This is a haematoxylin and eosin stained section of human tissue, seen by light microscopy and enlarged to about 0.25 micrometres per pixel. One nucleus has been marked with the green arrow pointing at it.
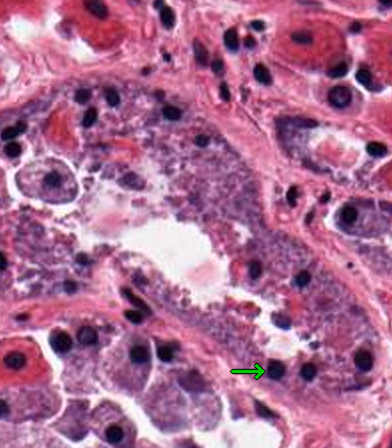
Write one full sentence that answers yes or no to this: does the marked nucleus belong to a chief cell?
Yes, the marked nucleus is identified as that of a chief cell.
